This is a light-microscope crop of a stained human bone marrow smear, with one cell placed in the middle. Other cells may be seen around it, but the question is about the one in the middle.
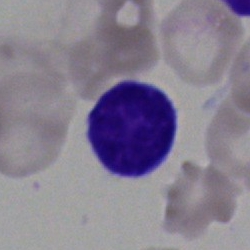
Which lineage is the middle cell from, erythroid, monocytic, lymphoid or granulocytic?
lymphoid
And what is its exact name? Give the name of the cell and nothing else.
lymphocyte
